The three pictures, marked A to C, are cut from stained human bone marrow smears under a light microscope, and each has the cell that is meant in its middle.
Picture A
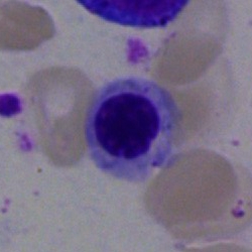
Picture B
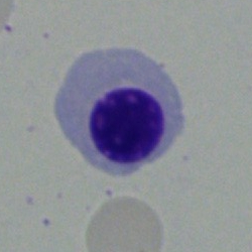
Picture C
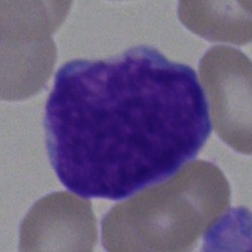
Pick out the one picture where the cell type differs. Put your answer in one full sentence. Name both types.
The others show erythroblasts, but picture C shows a blast.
